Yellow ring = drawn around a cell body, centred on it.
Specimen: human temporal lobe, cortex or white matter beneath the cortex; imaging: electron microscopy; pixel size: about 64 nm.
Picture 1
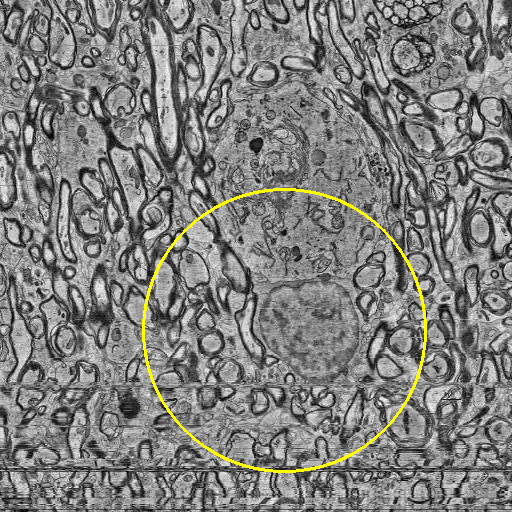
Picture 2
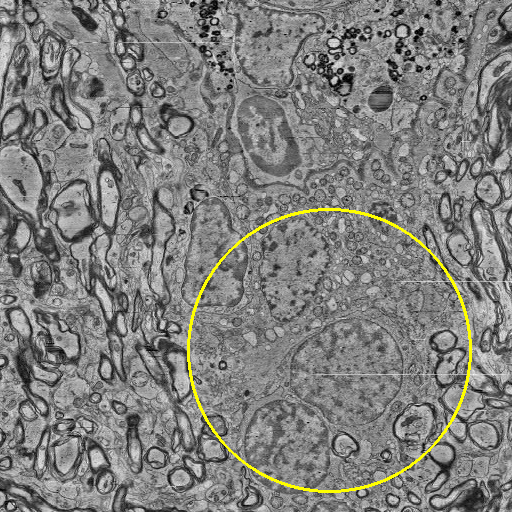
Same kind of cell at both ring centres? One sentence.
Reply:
Yes, they are the same kind of cell.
